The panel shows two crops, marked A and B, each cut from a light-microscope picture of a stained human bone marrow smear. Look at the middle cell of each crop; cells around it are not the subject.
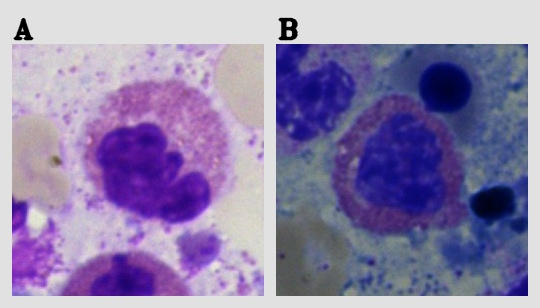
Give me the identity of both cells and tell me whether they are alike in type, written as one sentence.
Yes, both crops show eosinophils in their central position.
